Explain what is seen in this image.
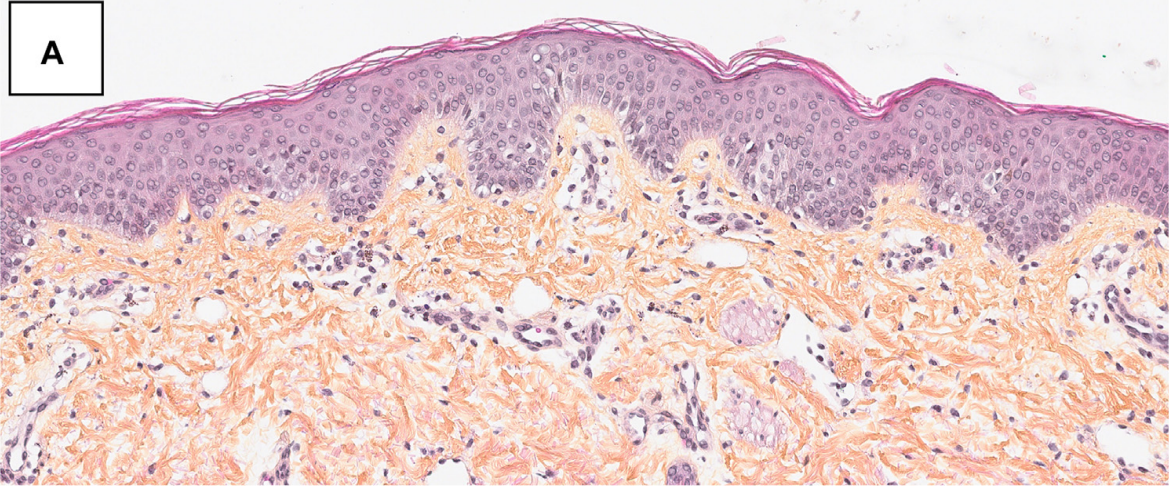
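This is skin at higher magnification, with a stratified squamous epidermis over a loose upper dermis. The epidermis has a thin pink compact-to-basketweave horny layer and rows of keratinocytes with round purple nuclei; a few cells show slight clear spaces between them. Below the epidermis the dermal collagen is pale orange and loosely arranged, with small vessels. Around these vessels sit a few small dark round nuclei of inflammatory cells, a mild infiltrate. Small brown pigment granules lie in the upper dermis, outside the epidermis.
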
